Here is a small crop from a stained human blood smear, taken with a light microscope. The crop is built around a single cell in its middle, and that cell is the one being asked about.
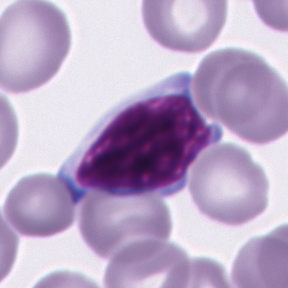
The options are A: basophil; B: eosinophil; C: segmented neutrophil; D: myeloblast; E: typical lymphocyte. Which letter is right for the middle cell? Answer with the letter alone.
E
